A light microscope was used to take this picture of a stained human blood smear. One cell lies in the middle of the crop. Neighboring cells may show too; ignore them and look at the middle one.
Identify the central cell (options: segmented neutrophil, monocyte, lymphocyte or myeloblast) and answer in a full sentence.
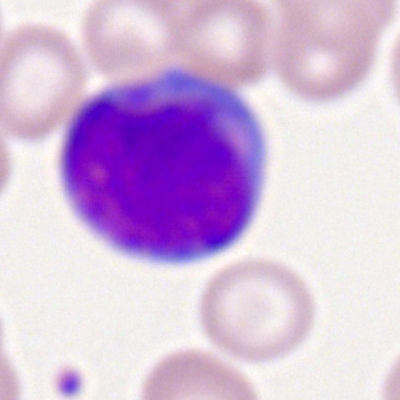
This crop has a myeloblast at its centre.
